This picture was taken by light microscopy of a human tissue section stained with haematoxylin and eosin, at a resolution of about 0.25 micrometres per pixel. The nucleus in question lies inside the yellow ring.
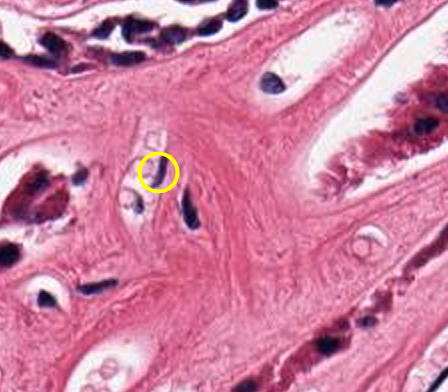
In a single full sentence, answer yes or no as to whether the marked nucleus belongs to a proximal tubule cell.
No, the marked nucleus belongs to a supporting cell, and a proximal tubule cell is not its owner.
